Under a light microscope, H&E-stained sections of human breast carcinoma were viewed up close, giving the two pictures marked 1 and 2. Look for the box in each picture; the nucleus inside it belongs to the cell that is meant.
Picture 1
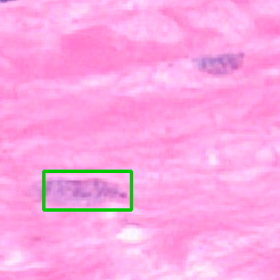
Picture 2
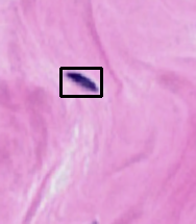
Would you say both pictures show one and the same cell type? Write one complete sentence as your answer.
Yes; the cells in both pictures are fibroblasts.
